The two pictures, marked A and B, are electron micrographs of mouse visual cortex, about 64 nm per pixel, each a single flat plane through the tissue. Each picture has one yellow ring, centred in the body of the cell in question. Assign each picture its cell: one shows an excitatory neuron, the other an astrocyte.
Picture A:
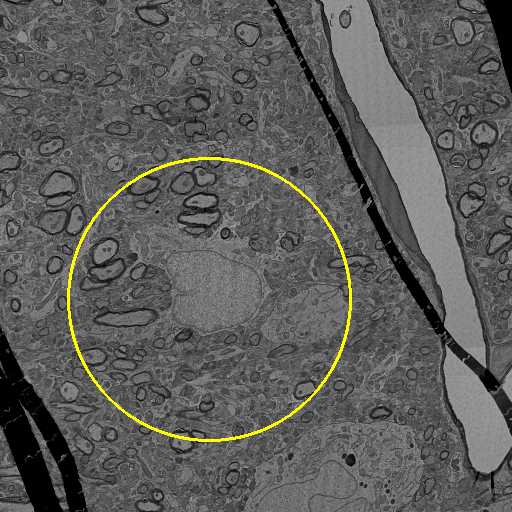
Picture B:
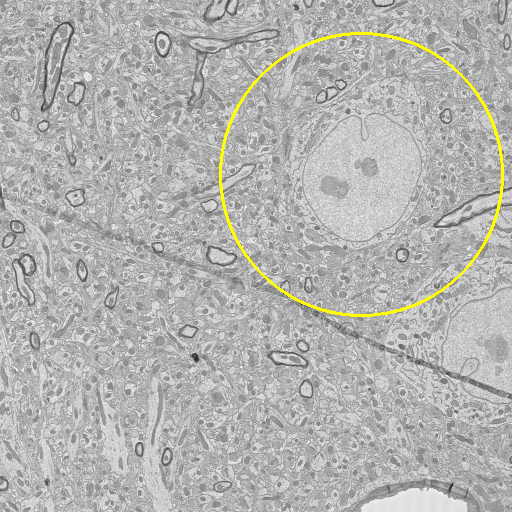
Picture B shows an excitatory neuron, while picture A shows an astrocyte.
